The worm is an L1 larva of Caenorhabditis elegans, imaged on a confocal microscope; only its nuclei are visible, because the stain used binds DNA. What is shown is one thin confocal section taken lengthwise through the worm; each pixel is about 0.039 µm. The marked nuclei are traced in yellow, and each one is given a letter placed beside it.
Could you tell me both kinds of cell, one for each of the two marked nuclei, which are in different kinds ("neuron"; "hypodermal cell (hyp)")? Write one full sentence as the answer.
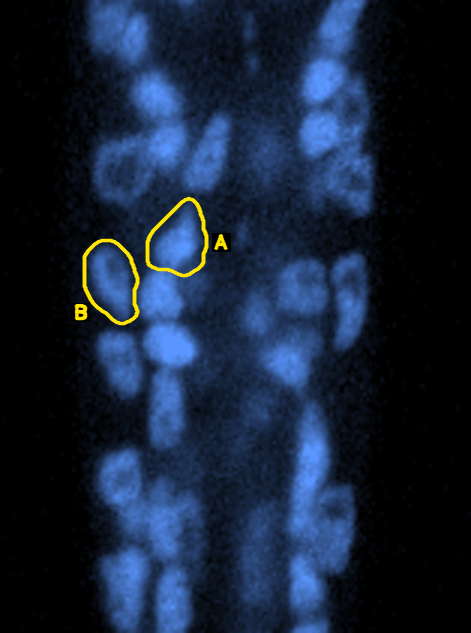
Nucleus A comes from a neuron and nucleus B from a hypodermal cell (hyp).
